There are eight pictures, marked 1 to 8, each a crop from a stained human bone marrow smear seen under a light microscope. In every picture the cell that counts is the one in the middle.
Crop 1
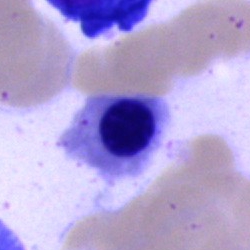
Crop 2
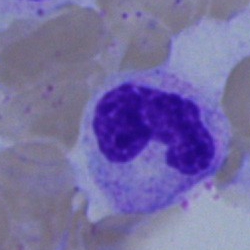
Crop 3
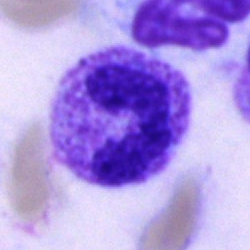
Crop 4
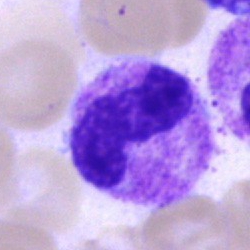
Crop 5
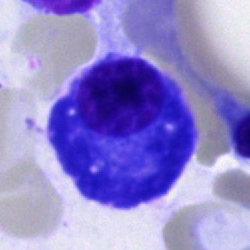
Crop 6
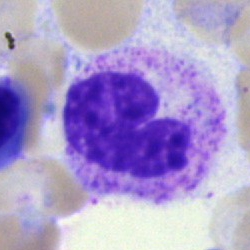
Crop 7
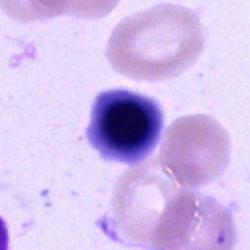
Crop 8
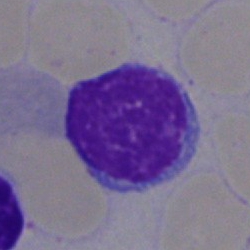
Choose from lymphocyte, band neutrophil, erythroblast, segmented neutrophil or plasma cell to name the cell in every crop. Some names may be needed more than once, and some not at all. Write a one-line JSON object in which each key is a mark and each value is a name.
{"1": "erythroblast", "2": "band neutrophil", "3": "segmented neutrophil", "4": "band neutrophil", "5": "plasma cell", "6": "band neutrophil", "7": "erythroblast", "8": "lymphocyte"}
